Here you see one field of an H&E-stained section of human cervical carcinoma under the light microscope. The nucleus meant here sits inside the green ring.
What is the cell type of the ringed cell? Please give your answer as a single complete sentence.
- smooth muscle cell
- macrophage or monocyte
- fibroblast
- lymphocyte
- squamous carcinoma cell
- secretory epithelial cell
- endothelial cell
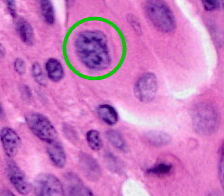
By cell type, the ringed cell is a squamous carcinoma cell.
